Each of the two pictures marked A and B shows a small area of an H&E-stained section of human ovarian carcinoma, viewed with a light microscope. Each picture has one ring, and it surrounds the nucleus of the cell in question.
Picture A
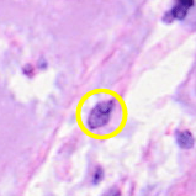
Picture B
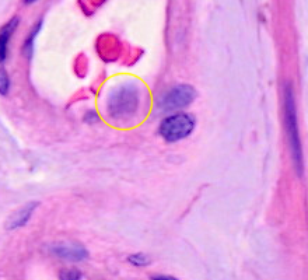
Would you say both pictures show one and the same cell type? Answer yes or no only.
no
